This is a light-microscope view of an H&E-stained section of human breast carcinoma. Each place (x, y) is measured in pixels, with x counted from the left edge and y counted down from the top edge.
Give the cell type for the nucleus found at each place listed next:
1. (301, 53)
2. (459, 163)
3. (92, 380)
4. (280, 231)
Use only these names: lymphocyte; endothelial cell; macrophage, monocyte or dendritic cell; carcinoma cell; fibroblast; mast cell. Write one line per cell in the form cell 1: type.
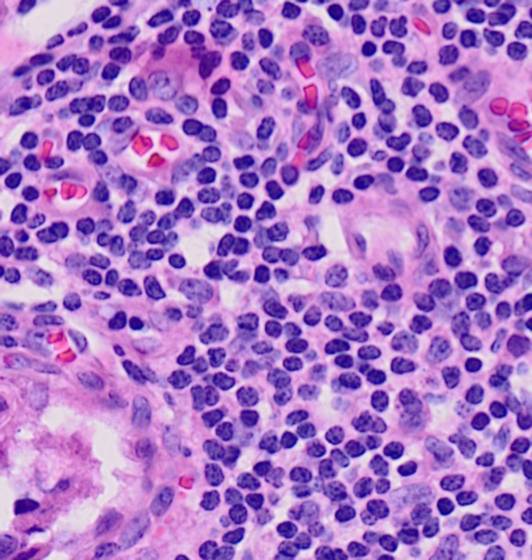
cell 1: endothelial cell
cell 2: lymphocyte
cell 3: endothelial cell
cell 4: lymphocyte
